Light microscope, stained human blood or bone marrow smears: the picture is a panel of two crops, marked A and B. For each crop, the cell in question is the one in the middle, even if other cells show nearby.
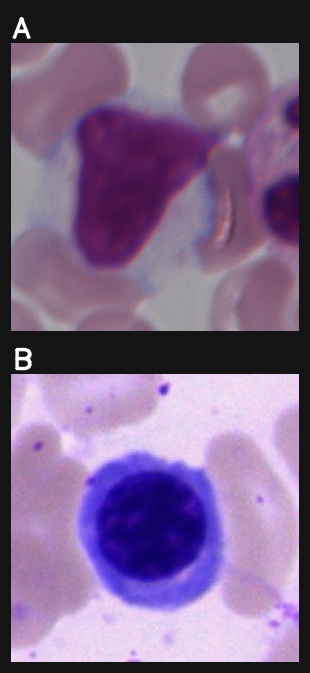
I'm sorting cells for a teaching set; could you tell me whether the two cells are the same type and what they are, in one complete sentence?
No, look again: crop A shows a lymphocyte, and crop B shows an erythroblast.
